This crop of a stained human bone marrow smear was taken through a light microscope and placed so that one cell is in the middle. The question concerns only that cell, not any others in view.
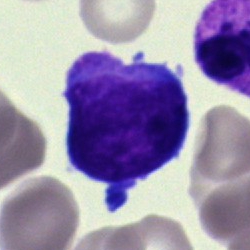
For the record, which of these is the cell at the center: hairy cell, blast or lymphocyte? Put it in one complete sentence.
In this smear crop, the middle cell is a blast.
